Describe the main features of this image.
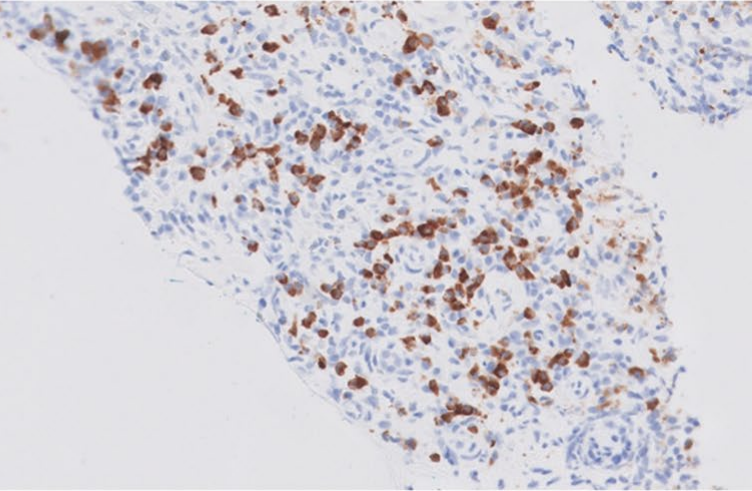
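Tissue fragment with many plasma cells, seen as round to oval cells with strongly brown-stained cytoplasm. They are scattered singly and in clusters among blue-nucleated spindle-shaped stromal cells. In places the spindle cells form small whorls. The background between the stained cells is largely clear of brown.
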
